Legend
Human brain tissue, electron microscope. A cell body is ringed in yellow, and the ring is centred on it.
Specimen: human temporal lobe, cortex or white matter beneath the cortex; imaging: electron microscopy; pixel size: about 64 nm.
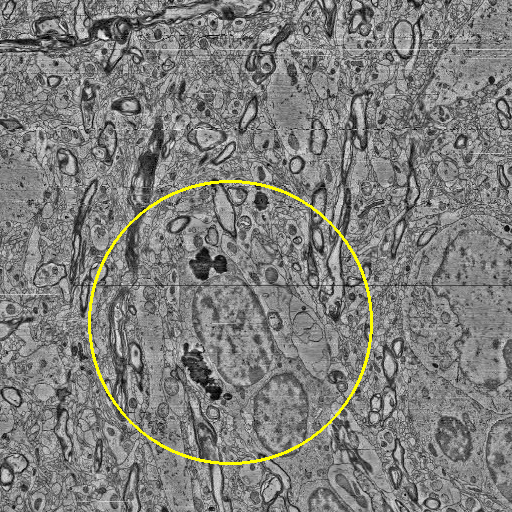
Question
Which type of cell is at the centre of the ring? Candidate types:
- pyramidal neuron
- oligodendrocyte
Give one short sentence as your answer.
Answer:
The yellow ring is centred here on an oligodendrocyte.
